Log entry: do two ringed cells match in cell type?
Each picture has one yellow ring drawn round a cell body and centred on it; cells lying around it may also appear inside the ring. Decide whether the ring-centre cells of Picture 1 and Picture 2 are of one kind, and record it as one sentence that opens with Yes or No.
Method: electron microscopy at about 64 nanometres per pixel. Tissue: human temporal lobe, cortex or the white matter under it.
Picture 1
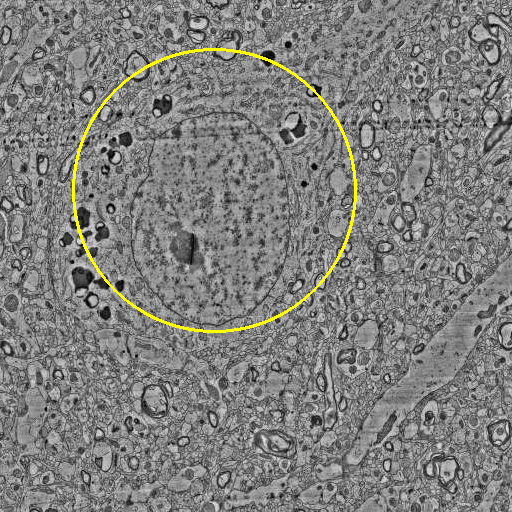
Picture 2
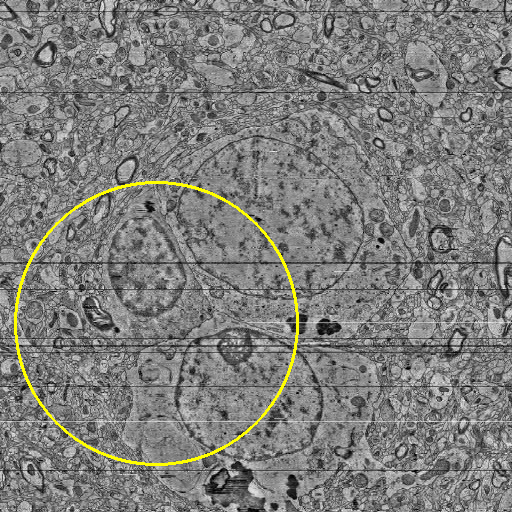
No, the cells at the ring centres of the two pictures belong to two kinds.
